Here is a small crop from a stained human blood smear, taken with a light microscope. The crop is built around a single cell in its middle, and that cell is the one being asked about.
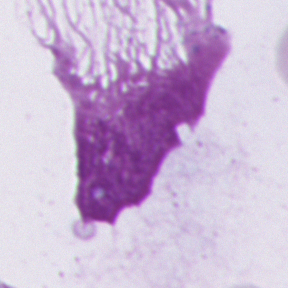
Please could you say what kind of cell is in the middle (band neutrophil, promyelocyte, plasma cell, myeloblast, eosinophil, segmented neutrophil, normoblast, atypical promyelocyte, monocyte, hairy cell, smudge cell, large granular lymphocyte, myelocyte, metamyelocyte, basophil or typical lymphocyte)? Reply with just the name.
smudge cell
